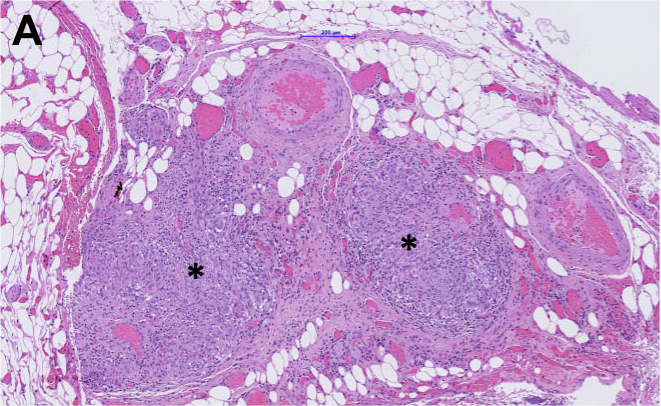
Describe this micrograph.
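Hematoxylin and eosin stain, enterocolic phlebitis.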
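This low-power view shows adipose tissue containing vessels, two of which are medium-sized veins whose lumens are occluded by dense inflammatory infiltrate. These two rounded structures are filled with closely packed cells that stain purple, and no open lumen remains within them. Nearby lie two smaller round vessels with thick pink walls and open lumens holding pink material. Empty round fat cells surround the vessels, and several congested small vessels appear as red patches in the fat.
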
